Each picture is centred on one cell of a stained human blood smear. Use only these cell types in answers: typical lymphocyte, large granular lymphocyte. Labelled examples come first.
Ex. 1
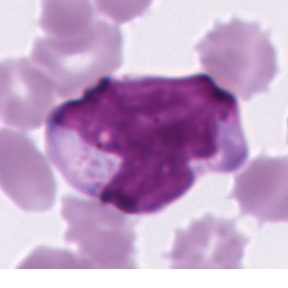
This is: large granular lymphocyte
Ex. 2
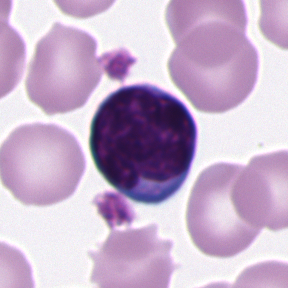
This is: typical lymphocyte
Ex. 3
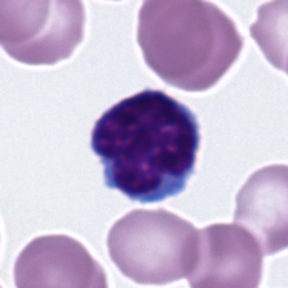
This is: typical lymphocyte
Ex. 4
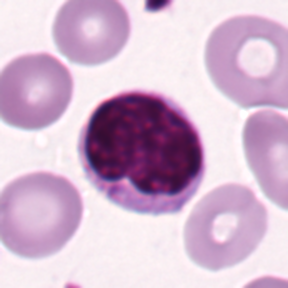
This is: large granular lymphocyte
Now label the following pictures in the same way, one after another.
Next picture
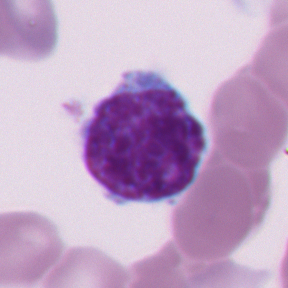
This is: typical lymphocyte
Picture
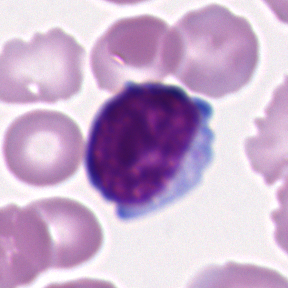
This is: typical lymphocyte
